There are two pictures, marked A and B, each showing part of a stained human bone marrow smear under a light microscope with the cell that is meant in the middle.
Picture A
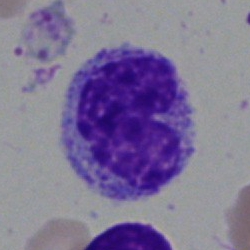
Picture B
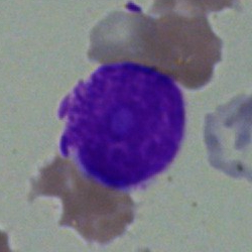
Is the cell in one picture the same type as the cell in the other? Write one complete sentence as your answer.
No; the cell in picture A is a monocyte, while the one in picture B is a blast.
